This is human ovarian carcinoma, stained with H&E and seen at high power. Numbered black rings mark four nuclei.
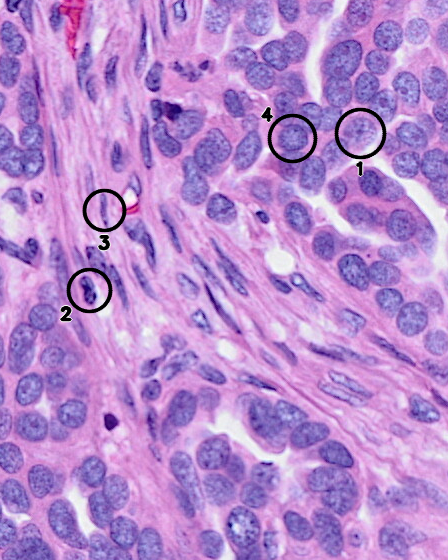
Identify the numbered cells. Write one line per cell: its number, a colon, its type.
1: carcinoma cell
2: lymphocyte
3: fibroblast
4: carcinoma cell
